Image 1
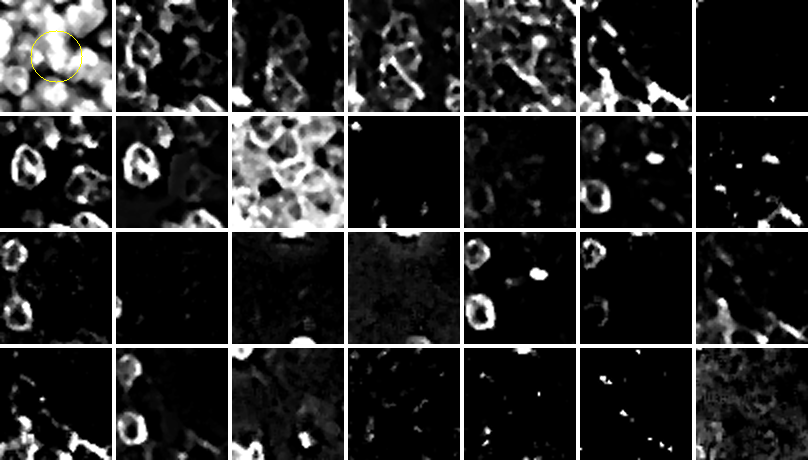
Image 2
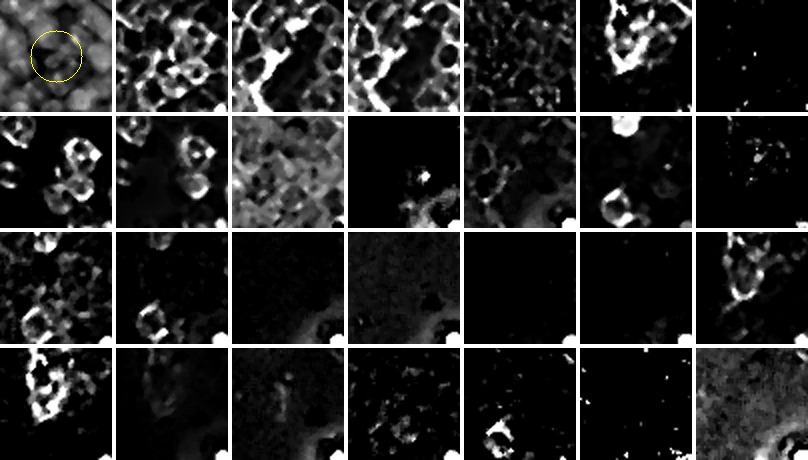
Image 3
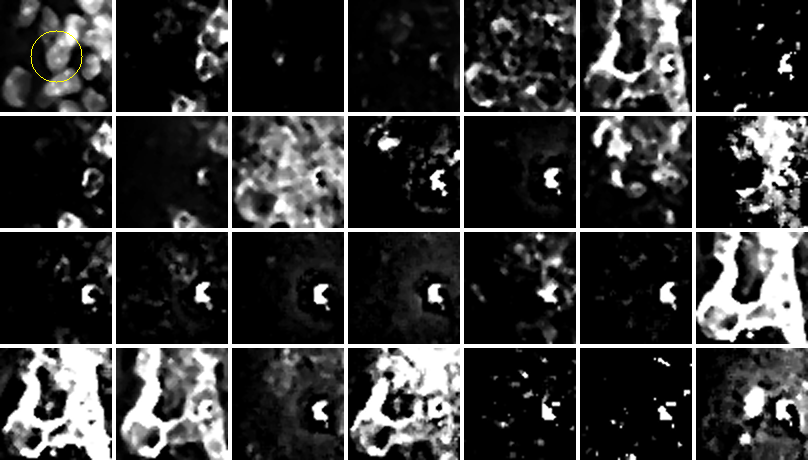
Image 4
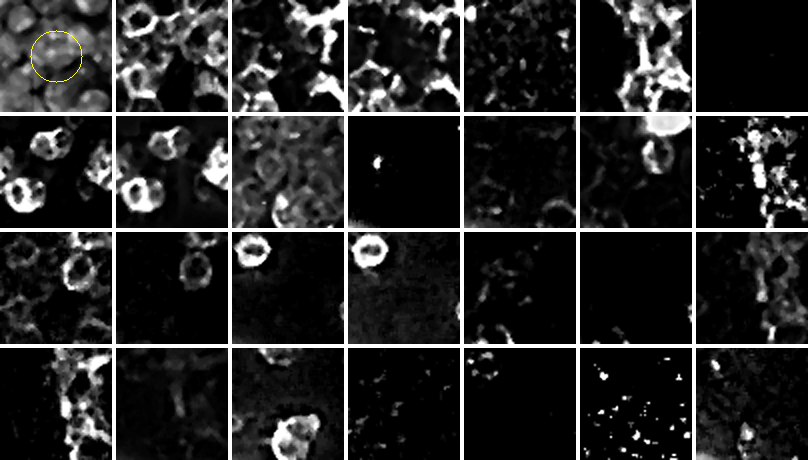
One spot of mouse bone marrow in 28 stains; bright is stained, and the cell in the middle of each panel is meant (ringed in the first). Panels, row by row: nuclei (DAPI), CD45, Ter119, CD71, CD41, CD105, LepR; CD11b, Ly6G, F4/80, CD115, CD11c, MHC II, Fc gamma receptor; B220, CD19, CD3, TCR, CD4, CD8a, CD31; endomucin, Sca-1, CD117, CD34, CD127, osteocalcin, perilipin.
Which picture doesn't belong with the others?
Picture 1.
